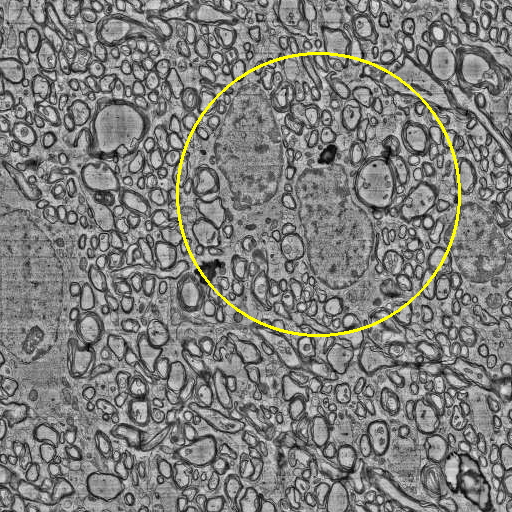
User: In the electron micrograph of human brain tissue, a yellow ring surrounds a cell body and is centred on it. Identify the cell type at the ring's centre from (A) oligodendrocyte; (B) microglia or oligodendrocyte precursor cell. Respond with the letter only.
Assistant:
A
